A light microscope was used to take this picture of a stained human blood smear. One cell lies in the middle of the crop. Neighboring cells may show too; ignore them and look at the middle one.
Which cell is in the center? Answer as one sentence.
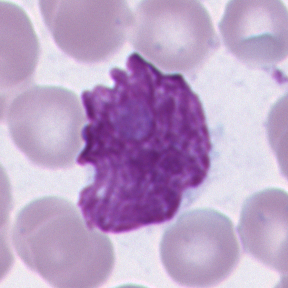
The cell of interest, in the center, is a smudge cell.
